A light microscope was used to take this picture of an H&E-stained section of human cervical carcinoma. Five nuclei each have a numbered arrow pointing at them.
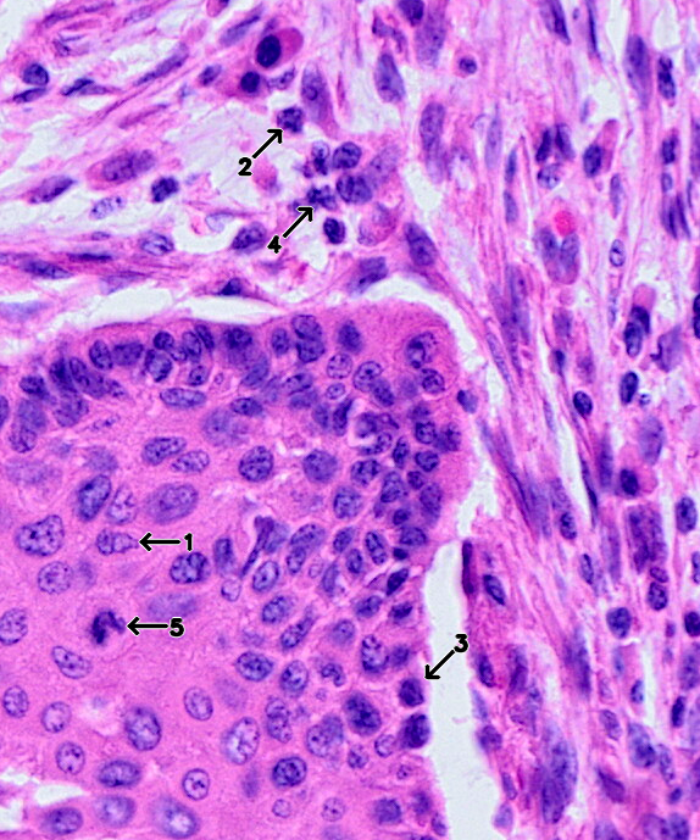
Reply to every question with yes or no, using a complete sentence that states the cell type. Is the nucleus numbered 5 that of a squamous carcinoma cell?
Yes, cell 5 is a squamous carcinoma cell in this tissue section.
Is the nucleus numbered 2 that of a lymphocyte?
Yes, that one, number 2, is a lymphocyte.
